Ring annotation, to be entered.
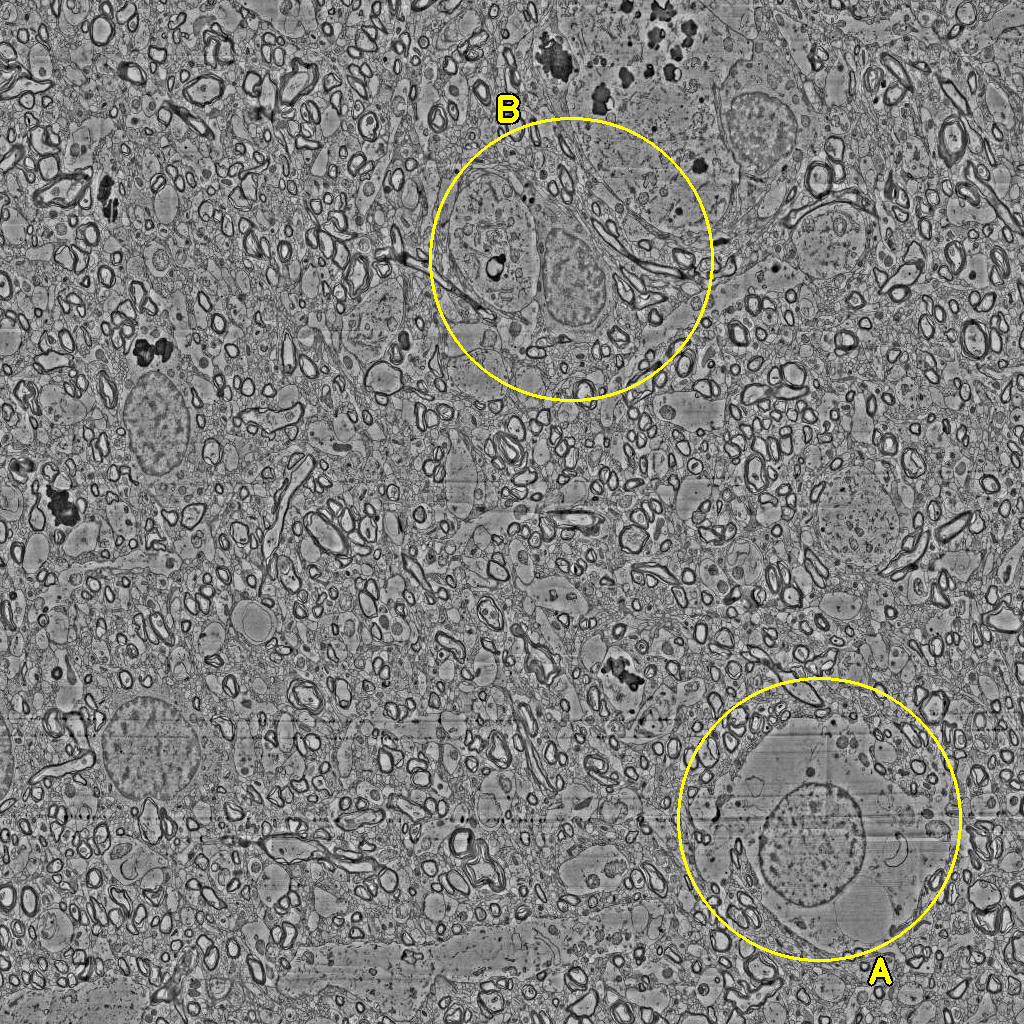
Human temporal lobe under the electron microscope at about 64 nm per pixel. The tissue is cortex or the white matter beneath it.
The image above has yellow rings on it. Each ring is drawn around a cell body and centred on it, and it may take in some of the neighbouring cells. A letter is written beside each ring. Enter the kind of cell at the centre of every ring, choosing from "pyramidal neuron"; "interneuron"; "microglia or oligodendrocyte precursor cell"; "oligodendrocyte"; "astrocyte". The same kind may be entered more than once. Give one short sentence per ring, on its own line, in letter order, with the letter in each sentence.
The ring marked A is centred on an astrocyte.
The ring marked B is centred on an oligodendrocyte.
